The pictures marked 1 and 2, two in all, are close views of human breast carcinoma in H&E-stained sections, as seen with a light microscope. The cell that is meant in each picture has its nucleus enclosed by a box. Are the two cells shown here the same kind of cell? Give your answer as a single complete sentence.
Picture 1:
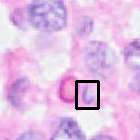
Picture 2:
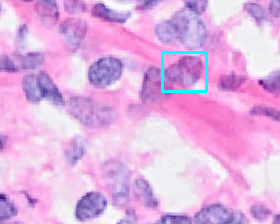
No. Picture 1 shows an endothelial cell, but picture 2 shows a carcinoma cell.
